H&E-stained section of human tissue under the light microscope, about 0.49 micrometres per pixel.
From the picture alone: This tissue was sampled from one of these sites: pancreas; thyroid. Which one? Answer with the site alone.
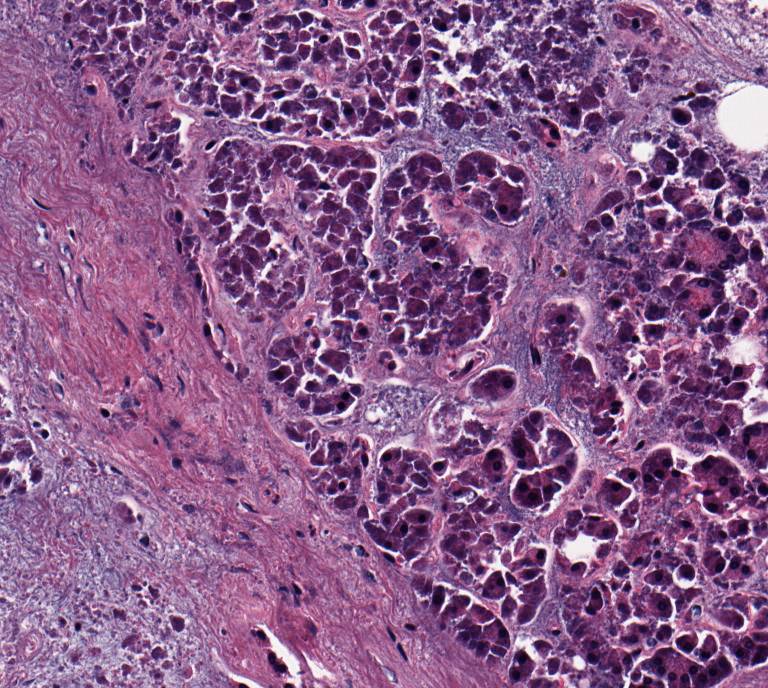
pancreas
